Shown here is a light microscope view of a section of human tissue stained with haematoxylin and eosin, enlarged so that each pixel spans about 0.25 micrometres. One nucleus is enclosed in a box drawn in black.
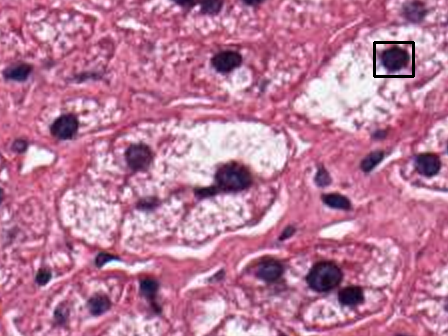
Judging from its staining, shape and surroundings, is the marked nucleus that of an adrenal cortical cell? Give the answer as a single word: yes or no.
yes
